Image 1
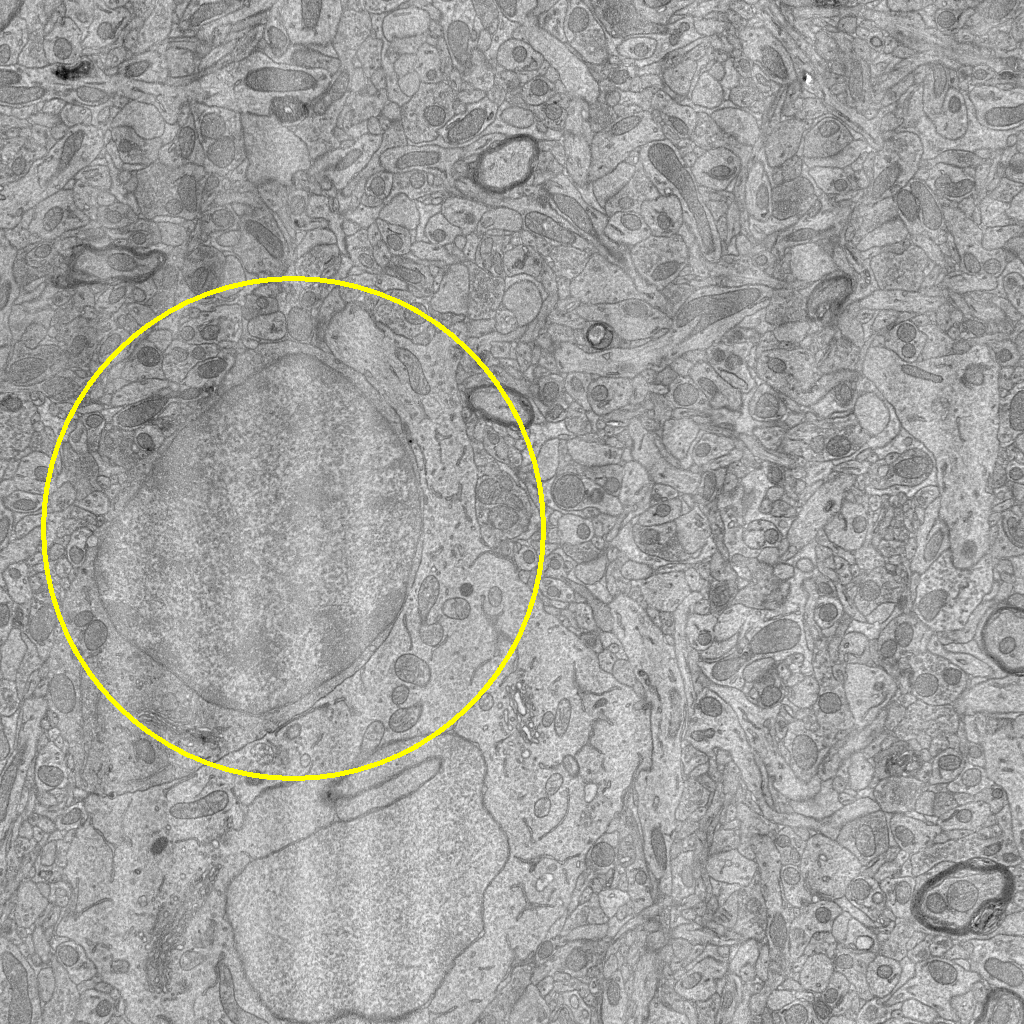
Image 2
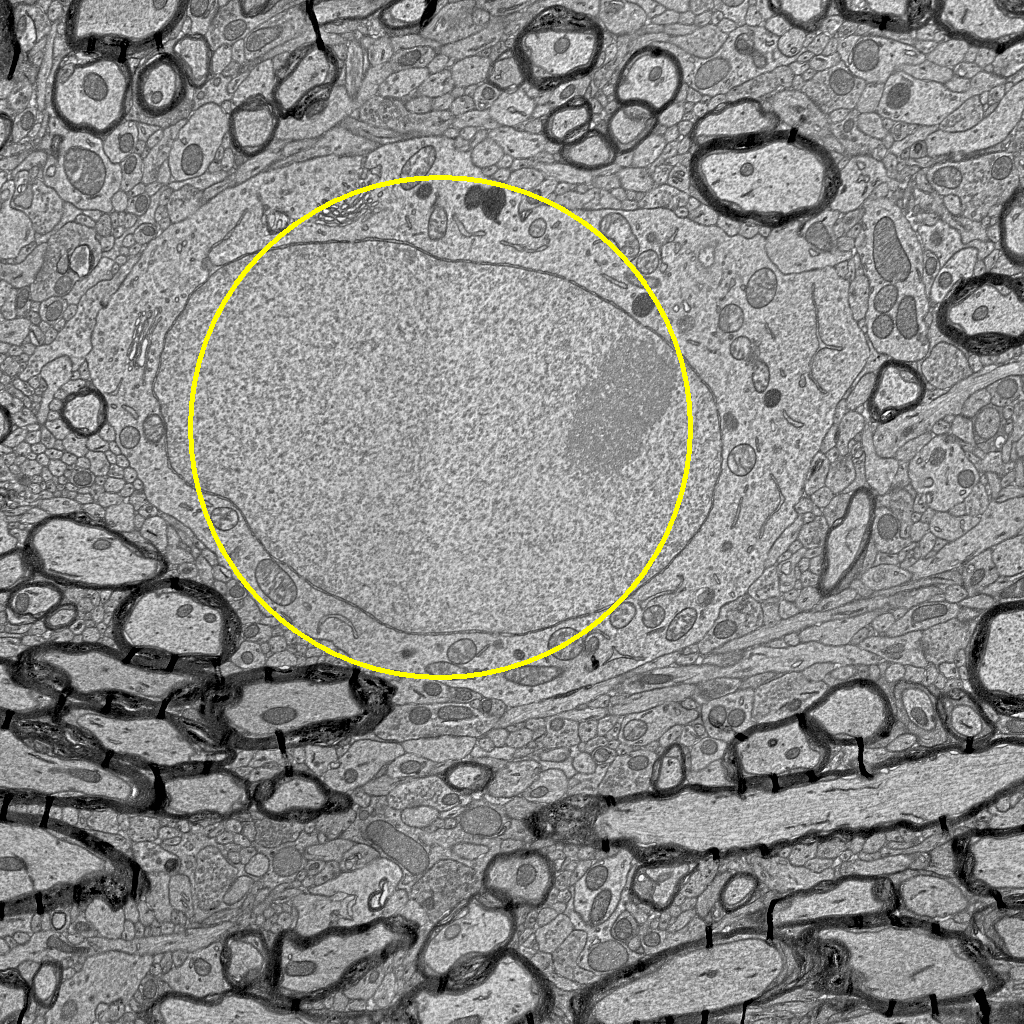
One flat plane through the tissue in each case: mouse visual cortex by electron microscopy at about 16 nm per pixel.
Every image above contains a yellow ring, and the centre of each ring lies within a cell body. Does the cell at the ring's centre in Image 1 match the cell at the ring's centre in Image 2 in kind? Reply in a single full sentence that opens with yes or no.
No, the cell at the ring's centre in Image 1 is a separate kind from that in Image 2.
